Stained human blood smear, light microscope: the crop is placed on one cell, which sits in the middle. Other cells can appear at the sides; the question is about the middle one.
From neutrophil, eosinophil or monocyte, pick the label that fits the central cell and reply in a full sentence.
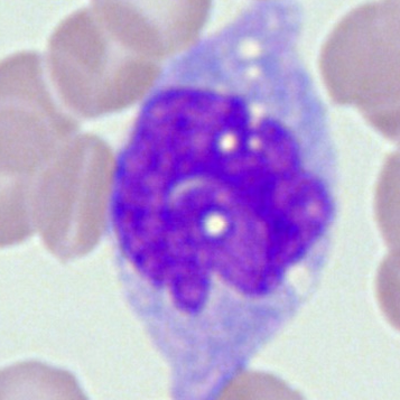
Present in the middle of the crop is a monocyte.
